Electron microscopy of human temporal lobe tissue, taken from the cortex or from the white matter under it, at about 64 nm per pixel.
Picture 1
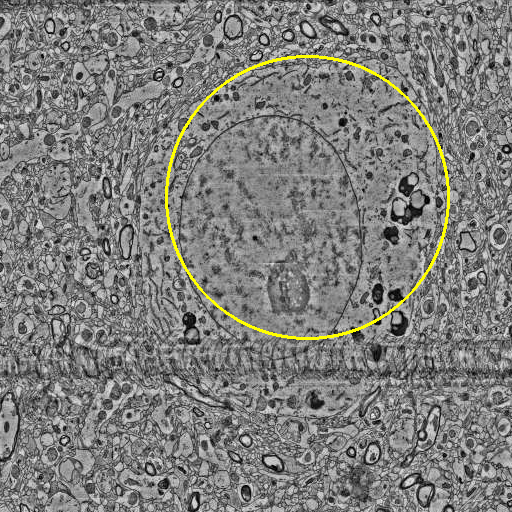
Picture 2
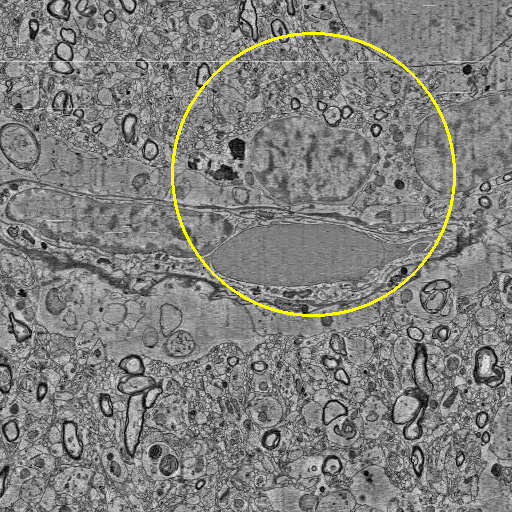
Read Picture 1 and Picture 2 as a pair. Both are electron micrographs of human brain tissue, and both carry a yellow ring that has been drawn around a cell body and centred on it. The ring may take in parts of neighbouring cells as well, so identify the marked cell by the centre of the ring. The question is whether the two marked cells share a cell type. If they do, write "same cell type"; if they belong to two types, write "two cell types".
two cell types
